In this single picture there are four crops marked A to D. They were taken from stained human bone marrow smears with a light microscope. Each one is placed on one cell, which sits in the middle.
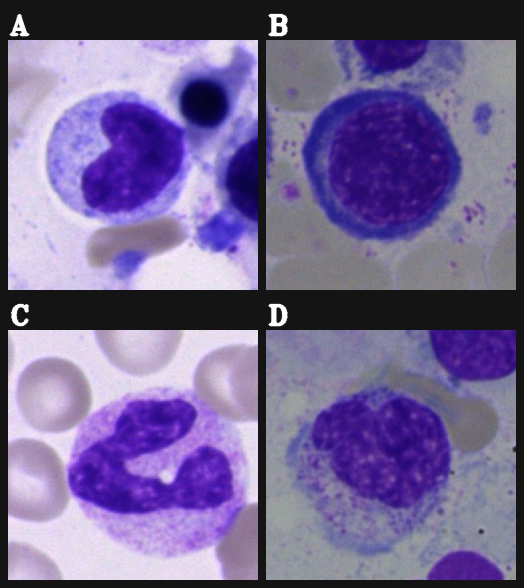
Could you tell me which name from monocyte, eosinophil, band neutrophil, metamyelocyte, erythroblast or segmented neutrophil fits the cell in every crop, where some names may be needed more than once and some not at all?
A: metamyelocyte
B: erythroblast
C: band neutrophil
D: metamyelocyte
